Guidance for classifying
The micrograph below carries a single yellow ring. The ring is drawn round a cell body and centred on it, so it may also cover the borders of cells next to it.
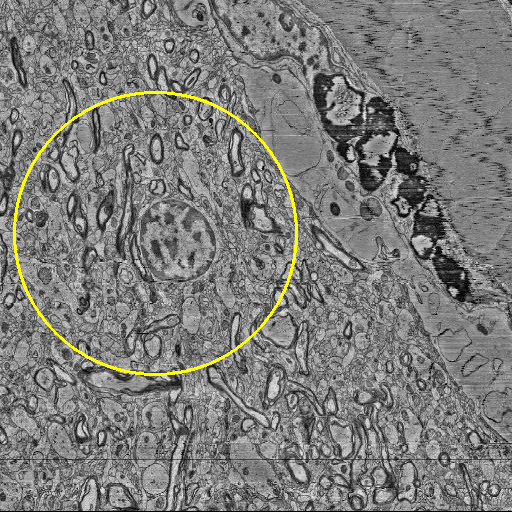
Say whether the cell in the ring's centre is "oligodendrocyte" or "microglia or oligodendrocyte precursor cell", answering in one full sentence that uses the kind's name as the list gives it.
Within the yellow ring, a microglial cell or oligodendrocyte precursor cell is the cell whose body sits at the centre.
